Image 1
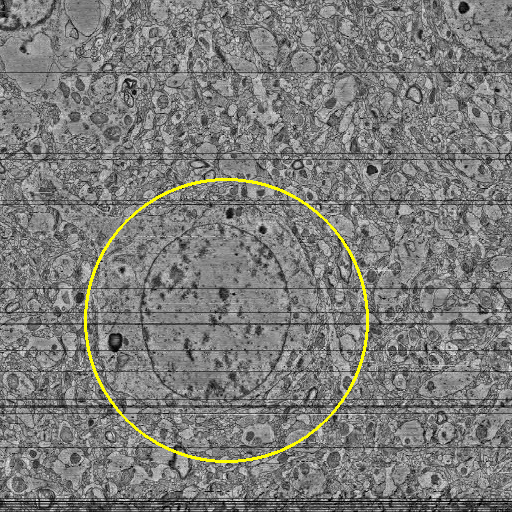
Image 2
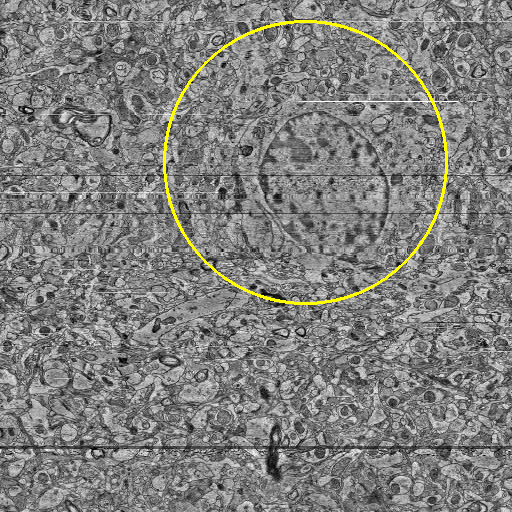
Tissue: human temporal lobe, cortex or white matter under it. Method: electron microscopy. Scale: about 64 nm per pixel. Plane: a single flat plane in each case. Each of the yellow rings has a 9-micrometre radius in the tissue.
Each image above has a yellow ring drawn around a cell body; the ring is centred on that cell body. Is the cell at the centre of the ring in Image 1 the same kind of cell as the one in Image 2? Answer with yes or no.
no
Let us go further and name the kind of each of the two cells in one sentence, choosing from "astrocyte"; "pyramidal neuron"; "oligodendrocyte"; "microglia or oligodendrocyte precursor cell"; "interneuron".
The ring of the first picture is on a pyramidal neuron, the ring of the second on an astrocyte.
